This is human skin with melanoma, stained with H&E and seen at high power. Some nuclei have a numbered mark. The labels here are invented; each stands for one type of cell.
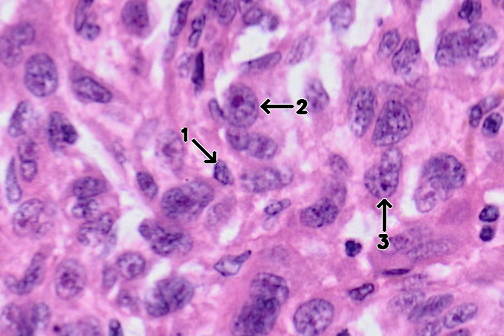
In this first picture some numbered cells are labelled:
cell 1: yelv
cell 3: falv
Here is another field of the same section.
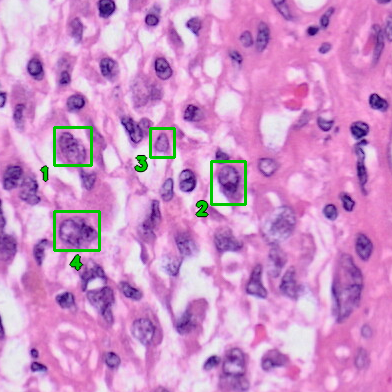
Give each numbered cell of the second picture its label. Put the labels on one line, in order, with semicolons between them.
falv; falv; yelv; falv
